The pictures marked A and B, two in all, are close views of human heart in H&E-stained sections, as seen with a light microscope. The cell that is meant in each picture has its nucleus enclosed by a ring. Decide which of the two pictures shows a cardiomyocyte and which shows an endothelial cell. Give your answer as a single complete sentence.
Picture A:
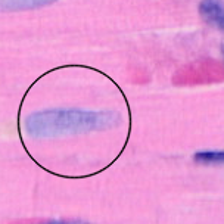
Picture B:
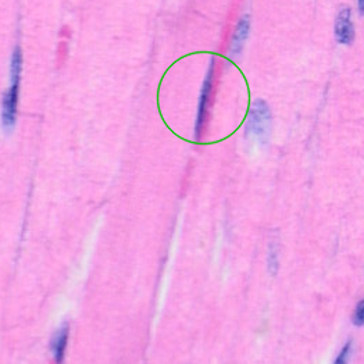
It is picture A that shows a cardiomyocyte, and picture B that shows an endothelial cell.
